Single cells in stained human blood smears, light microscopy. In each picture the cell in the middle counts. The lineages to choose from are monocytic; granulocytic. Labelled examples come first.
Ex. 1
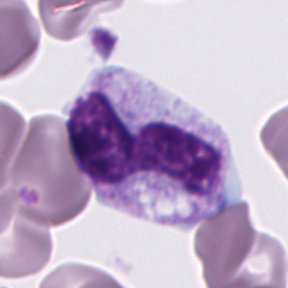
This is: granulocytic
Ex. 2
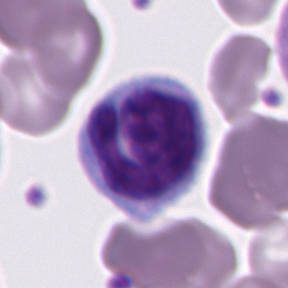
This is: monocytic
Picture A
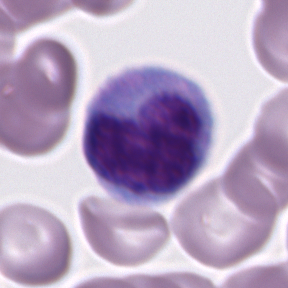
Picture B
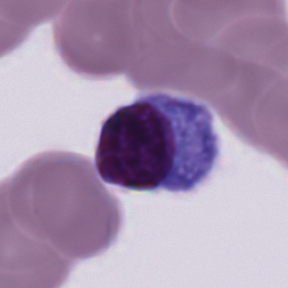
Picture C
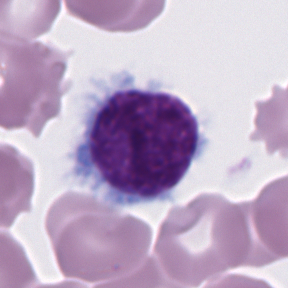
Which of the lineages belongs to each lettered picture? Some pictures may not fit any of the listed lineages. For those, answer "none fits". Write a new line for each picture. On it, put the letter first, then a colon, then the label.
A: monocytic
B: none fits
C: none fits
